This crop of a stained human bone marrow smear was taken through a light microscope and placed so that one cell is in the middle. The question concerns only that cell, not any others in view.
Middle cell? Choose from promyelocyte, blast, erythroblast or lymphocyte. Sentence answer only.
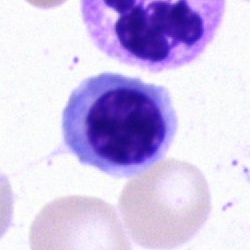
To answer, the cell in the center of the crop is an erythroblast.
